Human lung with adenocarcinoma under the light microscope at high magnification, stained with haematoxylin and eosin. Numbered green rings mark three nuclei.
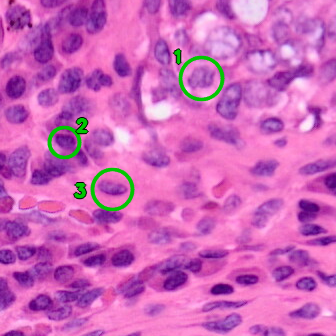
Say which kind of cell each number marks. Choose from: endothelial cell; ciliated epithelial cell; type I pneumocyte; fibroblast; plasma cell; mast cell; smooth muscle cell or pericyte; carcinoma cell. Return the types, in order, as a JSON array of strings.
["ciliated epithelial cell", "plasma cell", "mast cell"]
